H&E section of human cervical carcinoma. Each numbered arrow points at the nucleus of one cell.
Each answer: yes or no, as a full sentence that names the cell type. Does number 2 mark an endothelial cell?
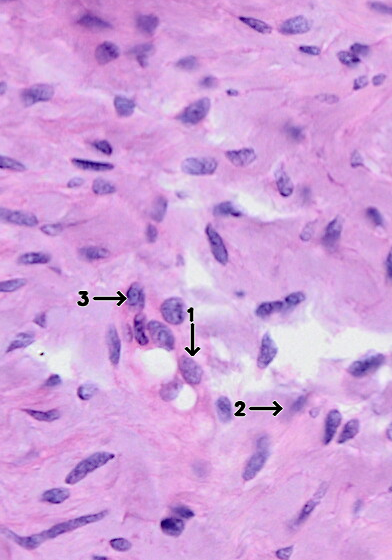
No, the correct answer for cell 2 is a fibroblast, not an endothelial cell.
